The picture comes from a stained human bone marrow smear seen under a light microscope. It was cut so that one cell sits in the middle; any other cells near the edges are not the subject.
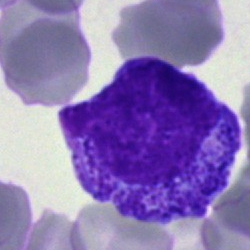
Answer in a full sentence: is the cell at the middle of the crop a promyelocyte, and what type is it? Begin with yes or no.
Yes, what sits in the centre of the crop is a promyelocyte.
